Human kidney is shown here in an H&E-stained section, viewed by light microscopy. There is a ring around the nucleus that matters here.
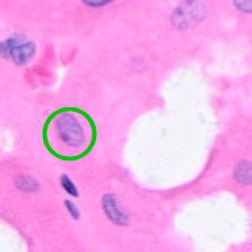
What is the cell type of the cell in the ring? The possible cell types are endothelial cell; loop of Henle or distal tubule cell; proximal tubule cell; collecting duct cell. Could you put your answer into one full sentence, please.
In short, the cell in the ring on this section is a proximal tubule cell.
